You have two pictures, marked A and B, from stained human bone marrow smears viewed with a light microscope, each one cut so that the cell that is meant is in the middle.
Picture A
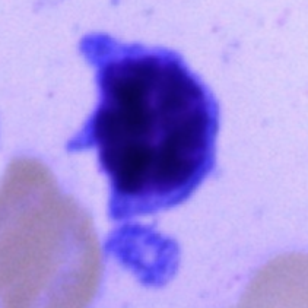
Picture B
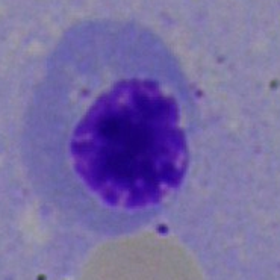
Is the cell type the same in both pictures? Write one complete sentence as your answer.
No, they differ: the cell is a lymphocyte in picture A and an erythroblast in picture B.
